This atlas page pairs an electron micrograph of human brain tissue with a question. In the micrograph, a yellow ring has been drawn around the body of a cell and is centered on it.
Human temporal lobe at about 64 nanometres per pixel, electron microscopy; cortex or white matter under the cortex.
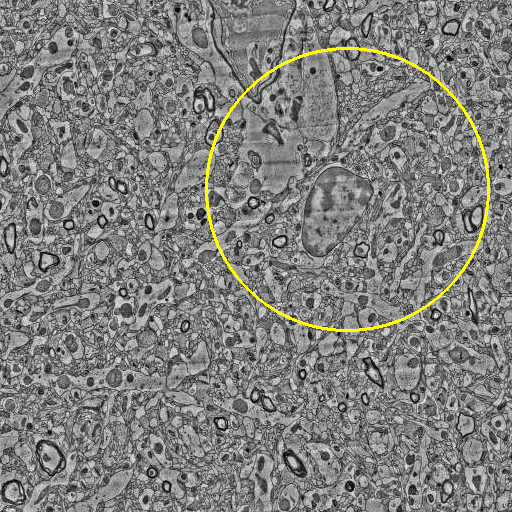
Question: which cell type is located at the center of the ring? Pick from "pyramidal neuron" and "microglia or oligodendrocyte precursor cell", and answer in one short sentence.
Located at the center of the ring is a microglial cell or oligodendrocyte precursor cell.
